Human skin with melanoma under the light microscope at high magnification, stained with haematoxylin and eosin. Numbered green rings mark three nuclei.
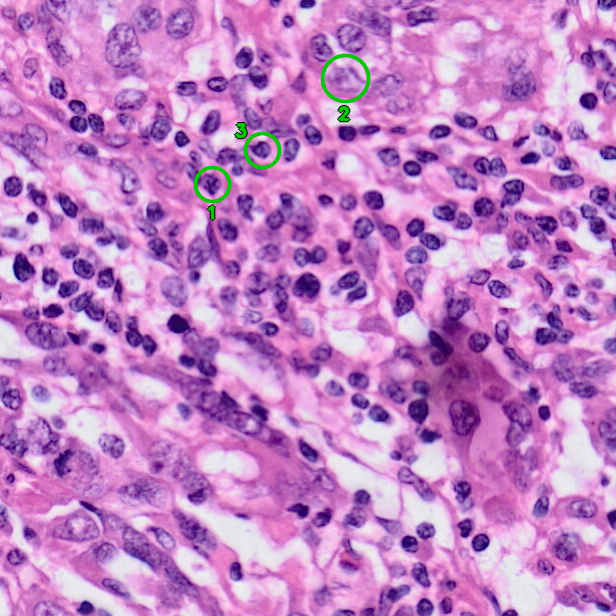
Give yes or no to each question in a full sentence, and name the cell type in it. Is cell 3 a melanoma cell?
No, the cell given the number 3 is a lymphocyte, so not a melanoma cell.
